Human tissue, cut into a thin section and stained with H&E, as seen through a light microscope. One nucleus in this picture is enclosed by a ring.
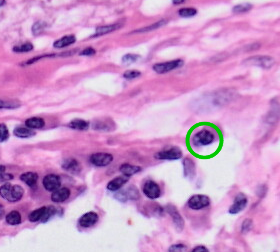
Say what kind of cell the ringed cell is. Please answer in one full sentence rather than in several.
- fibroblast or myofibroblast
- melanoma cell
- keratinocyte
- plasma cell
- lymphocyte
The expected answer is simply that the ringed cell is a plasma cell.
